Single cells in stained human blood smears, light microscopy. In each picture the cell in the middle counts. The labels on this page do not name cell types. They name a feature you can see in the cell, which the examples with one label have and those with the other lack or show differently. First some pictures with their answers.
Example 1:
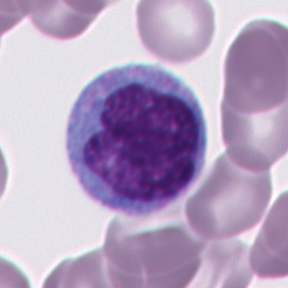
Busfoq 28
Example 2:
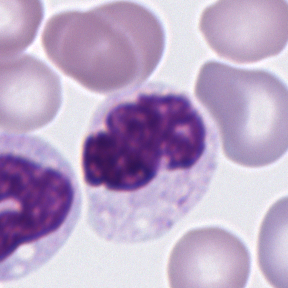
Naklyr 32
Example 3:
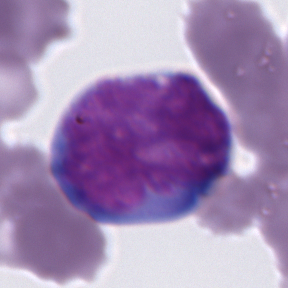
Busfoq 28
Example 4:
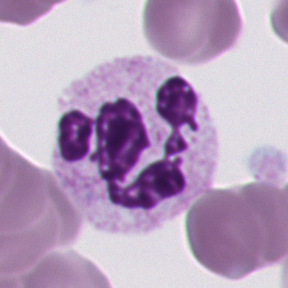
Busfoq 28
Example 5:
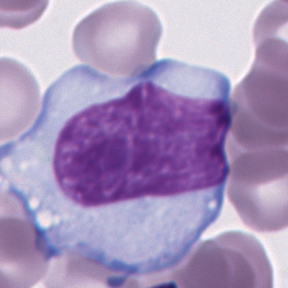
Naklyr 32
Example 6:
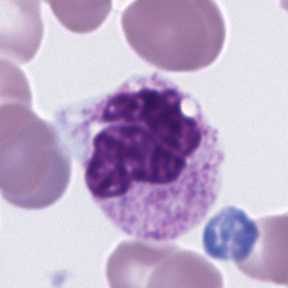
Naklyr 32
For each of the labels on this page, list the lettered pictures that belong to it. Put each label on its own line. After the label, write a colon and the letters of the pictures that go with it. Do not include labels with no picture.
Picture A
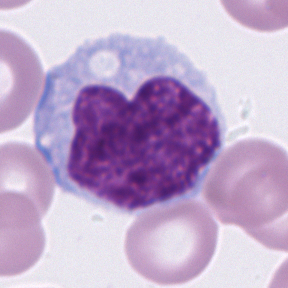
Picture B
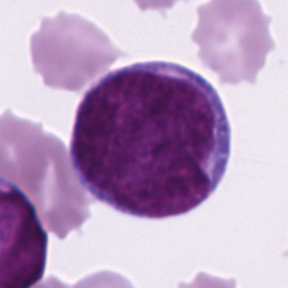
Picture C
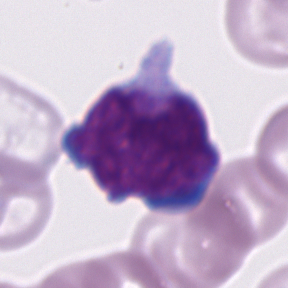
Busfoq 28: B, C
Naklyr 32: A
